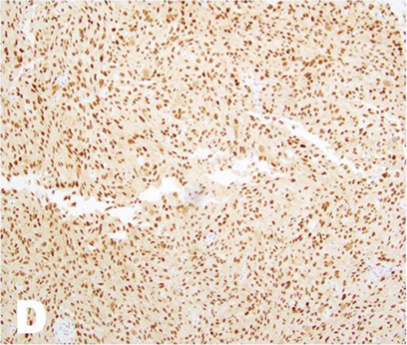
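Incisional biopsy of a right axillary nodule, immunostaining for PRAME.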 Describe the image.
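This is a sheet of tumor cells in which brown stain picks out the nuclei across the whole field. The nuclei appear as small brown oval or elongated dots scattered evenly through the tissue. The cytoplasm around them stays pale, so the background looks light tan. A thin cleft-like space runs across the middle of the field.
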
